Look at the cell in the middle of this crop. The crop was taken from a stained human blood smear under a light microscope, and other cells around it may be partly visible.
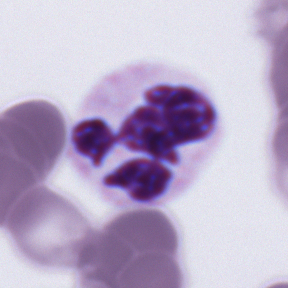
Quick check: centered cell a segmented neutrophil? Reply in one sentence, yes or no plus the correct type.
Yes, the cell lying in the centre of the crop is identified as a segmented neutrophil.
